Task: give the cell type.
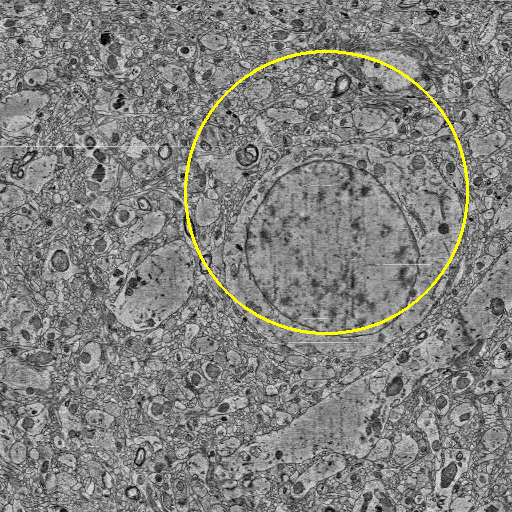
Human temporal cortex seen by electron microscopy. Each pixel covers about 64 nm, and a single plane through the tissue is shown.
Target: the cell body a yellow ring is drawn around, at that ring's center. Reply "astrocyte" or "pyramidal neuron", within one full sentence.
In this picture, the cell whose body lies at the ring's center is a pyramidal neuron.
